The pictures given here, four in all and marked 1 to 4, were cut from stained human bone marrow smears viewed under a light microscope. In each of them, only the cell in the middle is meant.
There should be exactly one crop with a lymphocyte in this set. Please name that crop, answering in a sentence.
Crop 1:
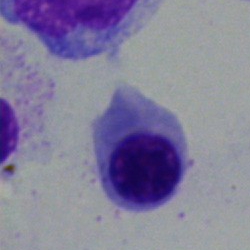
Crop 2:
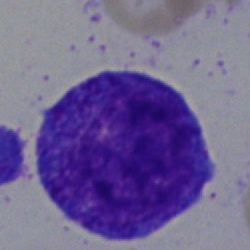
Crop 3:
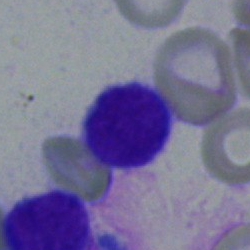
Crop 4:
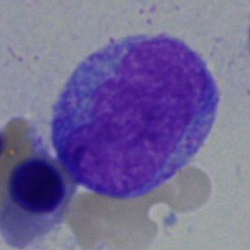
On review of the set, crop 3 is the one showing a lymphocyte.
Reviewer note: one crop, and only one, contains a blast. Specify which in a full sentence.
Crop 4 is the single crop that shows a blast.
